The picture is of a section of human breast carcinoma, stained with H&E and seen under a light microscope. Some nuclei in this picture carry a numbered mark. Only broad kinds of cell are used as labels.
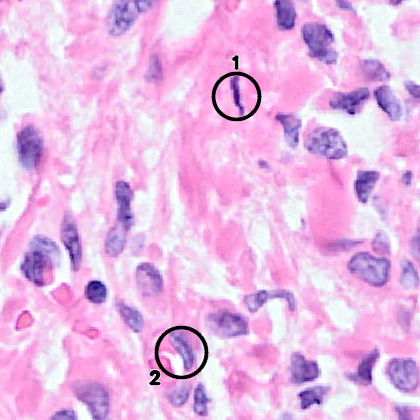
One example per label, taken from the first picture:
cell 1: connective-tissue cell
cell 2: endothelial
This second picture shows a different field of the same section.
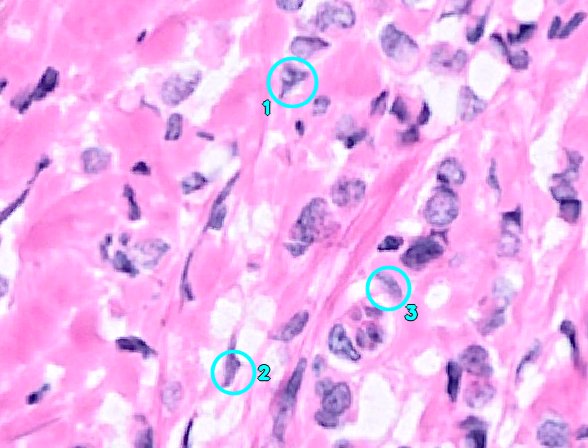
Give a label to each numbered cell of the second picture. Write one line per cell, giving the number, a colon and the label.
1: connective-tissue cell
2: connective-tissue cell
3: endothelial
